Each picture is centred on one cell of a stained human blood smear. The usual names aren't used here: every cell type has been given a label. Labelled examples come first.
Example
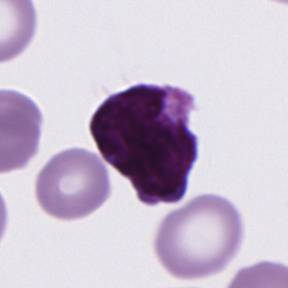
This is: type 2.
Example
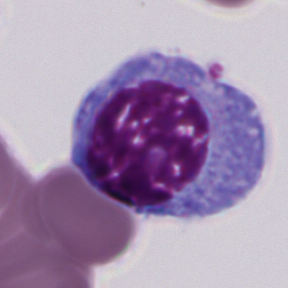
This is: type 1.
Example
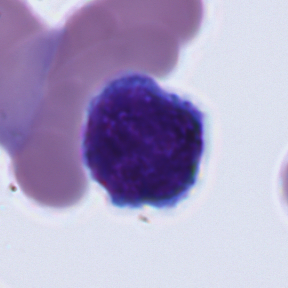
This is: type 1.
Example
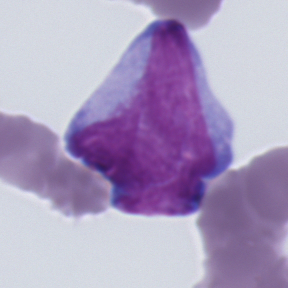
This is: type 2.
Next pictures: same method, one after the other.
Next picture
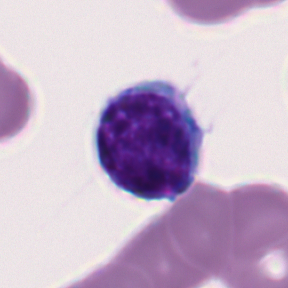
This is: type 1.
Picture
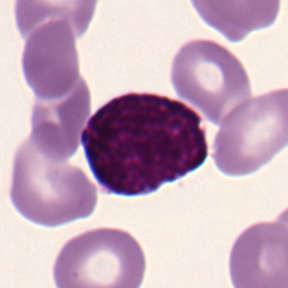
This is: type 2.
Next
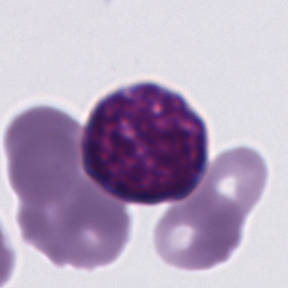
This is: type 2.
